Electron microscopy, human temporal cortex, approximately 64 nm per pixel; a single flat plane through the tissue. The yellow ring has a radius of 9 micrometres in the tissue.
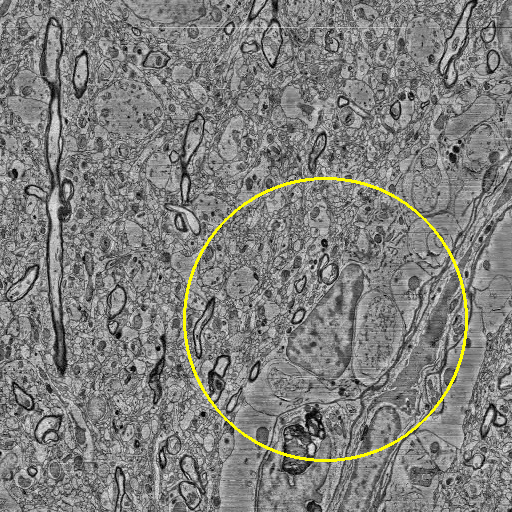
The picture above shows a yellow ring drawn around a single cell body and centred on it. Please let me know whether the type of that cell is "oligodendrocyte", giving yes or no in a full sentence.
No, the cell at the centre of the ring above has a different type.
